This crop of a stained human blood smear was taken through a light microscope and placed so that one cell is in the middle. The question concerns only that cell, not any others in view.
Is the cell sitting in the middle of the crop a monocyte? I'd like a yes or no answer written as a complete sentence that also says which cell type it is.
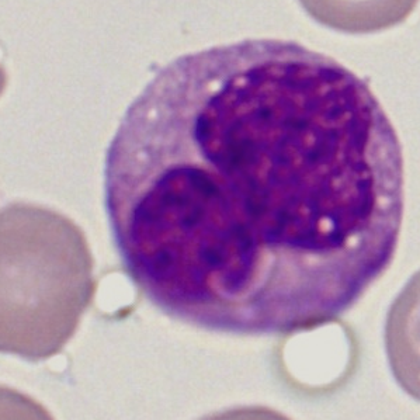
Yes, the cell in the middle is rightly called a monocyte.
